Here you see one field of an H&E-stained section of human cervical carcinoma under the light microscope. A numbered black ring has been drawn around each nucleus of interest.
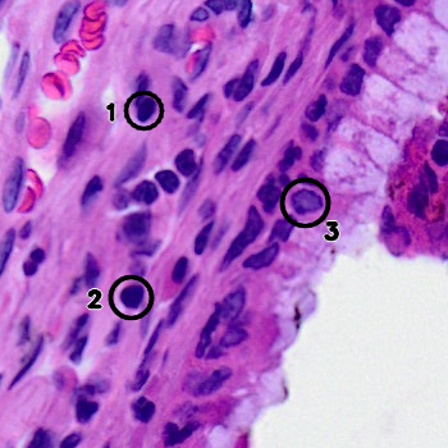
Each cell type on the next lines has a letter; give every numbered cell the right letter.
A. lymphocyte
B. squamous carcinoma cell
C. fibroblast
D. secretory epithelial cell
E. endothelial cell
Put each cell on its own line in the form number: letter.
1: A
2: A
3: D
